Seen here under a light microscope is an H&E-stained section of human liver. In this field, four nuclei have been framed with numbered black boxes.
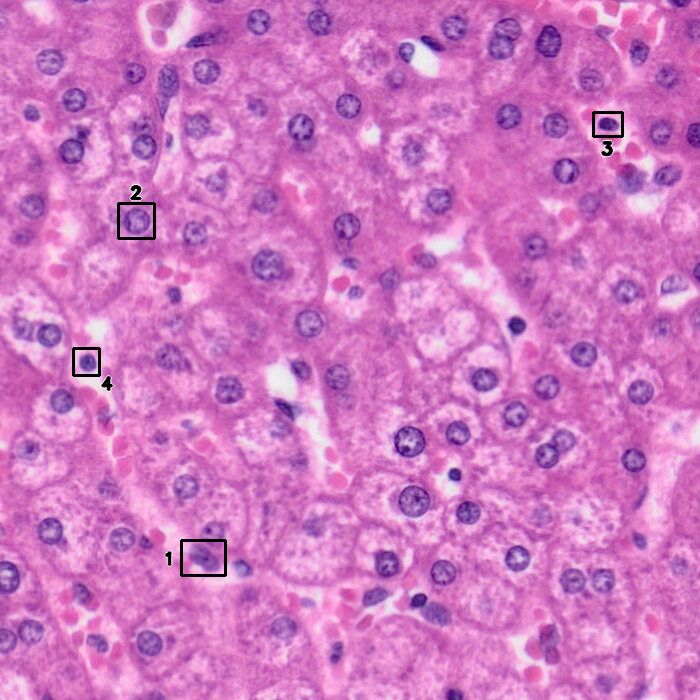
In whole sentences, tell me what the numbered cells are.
Cell 1 is an endothelial cell, cell 2 is a hepatocyte, cell 3 is a lymphocyte and cell 4 is a lymphocyte.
